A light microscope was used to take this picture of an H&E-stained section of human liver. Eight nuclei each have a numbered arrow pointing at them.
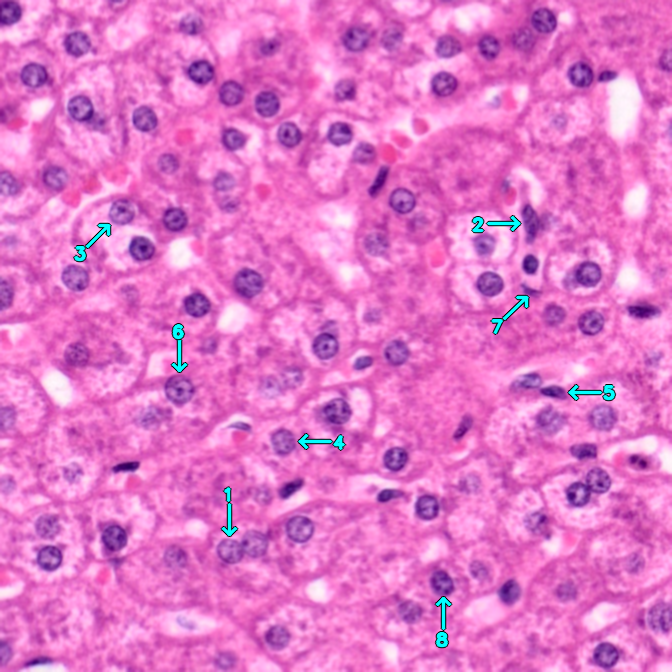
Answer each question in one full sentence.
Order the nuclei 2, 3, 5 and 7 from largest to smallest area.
Going from the biggest nucleus down to the smallest gives 3, 2, 5, 7.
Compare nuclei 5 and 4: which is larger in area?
It is nucleus 4, which covers about 2 times the area of nucleus 5.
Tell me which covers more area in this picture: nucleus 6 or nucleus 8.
Nucleus 6 is the larger one, covering about 1.5 times the area of nucleus 8.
